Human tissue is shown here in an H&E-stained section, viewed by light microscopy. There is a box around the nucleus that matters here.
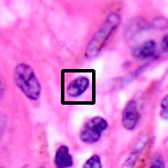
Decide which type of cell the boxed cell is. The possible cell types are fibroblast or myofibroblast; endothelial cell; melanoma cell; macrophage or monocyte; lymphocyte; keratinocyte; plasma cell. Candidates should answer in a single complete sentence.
Within the stained tissue, the boxed cell is a lymphocyte.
